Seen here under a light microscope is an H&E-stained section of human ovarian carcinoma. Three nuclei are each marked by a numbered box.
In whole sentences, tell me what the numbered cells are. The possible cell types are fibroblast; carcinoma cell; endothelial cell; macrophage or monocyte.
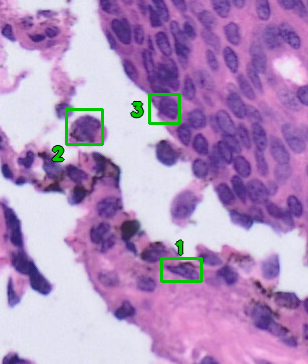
Cell 1 is a macrophage or monocyte, cell 2 is a carcinoma cell and cell 3 is a carcinoma cell.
